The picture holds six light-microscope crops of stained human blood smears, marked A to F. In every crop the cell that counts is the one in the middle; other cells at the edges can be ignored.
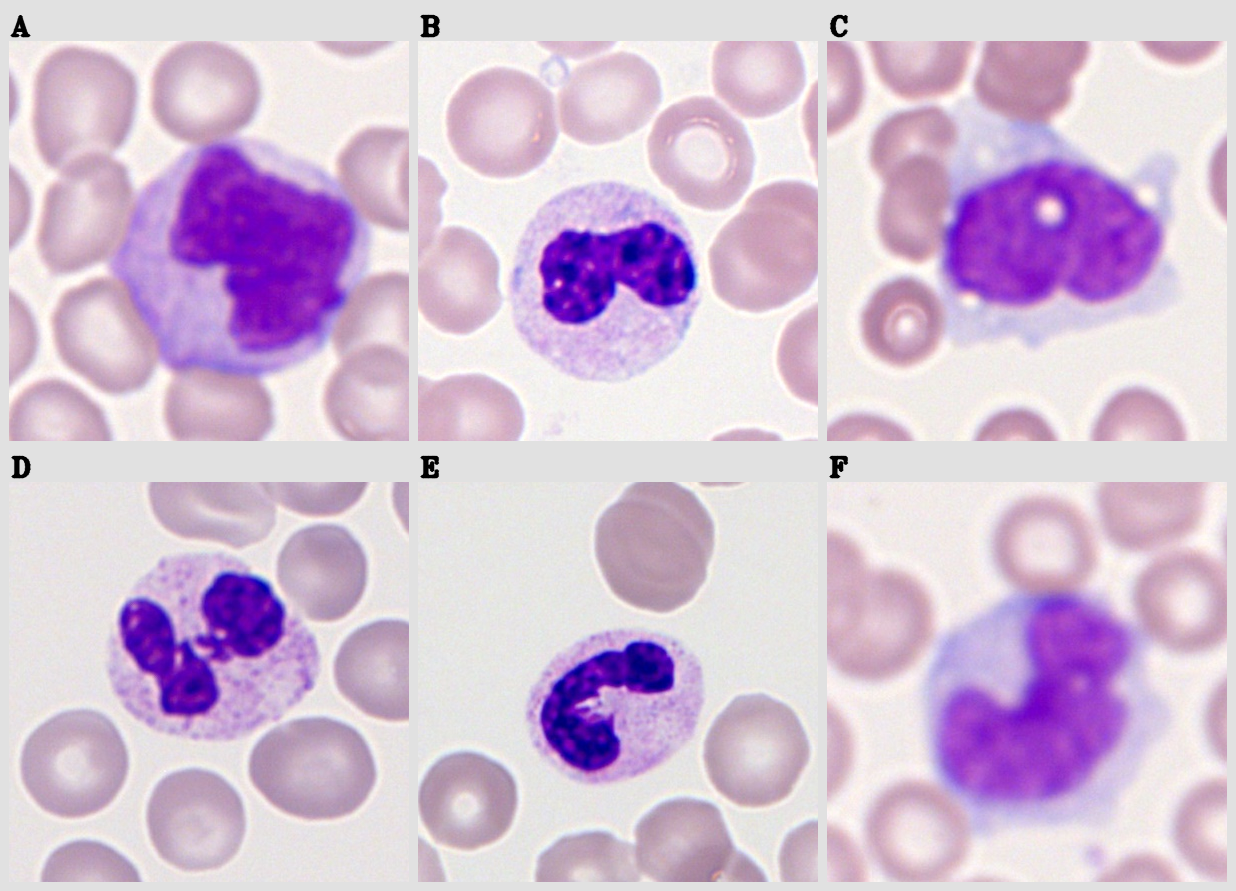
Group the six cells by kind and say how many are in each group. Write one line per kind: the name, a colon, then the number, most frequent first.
monocyte: 3
band neutrophil: 2
segmented neutrophil: 1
